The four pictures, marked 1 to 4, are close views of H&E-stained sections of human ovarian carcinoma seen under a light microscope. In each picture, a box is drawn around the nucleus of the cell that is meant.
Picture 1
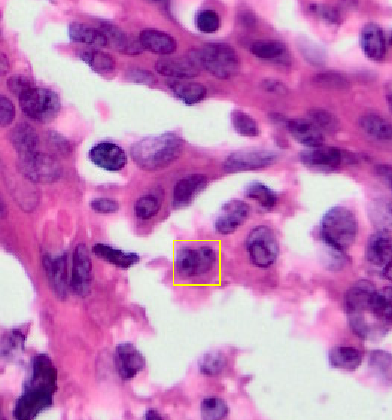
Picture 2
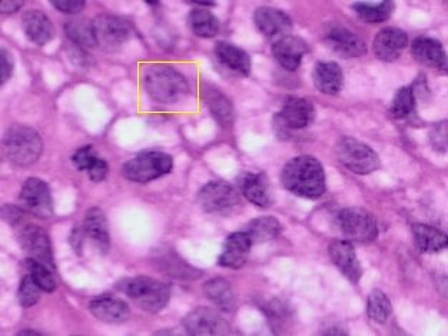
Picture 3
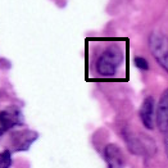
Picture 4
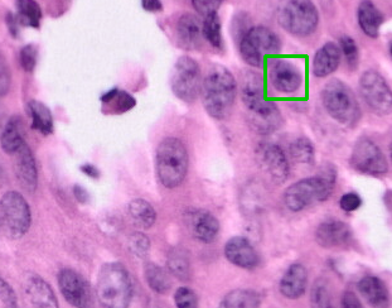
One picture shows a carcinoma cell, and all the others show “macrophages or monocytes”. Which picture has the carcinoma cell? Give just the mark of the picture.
2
